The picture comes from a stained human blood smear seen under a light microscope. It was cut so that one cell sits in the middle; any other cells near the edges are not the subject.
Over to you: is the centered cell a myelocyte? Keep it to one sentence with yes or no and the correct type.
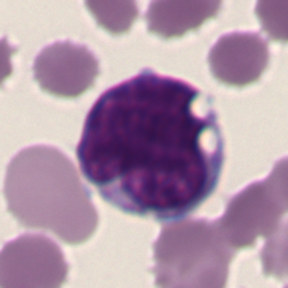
No, the central cell is a monocyte; it should not be labelled a myelocyte.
